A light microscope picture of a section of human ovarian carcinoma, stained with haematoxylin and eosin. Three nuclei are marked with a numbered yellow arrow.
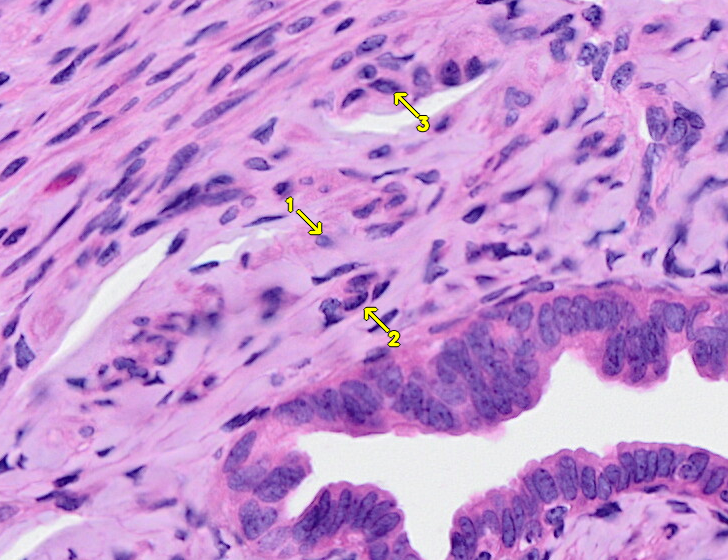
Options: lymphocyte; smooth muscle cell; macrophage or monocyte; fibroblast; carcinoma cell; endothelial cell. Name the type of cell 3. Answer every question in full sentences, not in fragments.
The cell pointed out as number 3 is an endothelial cell.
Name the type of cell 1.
The cell with the number 1 is a smooth muscle cell.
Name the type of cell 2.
The cell that carries the label 2 is an endothelial cell.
